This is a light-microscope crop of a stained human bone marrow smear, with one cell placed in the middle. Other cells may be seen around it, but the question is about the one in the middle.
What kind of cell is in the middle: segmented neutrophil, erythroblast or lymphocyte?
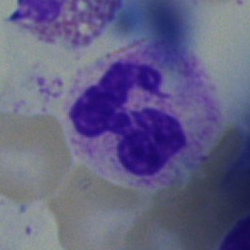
segmented neutrophil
